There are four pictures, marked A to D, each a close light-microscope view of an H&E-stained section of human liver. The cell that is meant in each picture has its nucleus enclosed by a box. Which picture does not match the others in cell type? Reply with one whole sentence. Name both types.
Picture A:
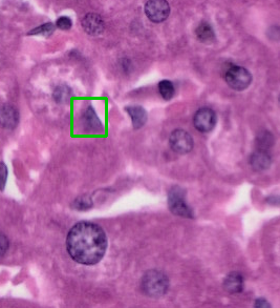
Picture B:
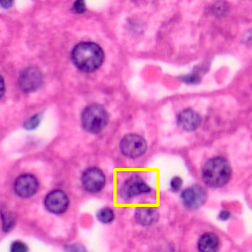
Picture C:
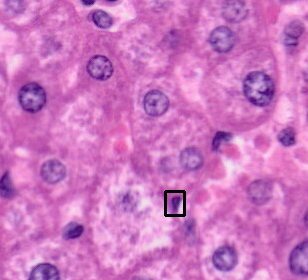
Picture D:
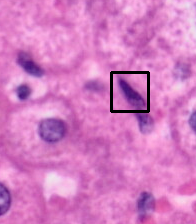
Picture A differs, because its cell is an endothelial cell and the rest are “fibroblasts or stellate cells”.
